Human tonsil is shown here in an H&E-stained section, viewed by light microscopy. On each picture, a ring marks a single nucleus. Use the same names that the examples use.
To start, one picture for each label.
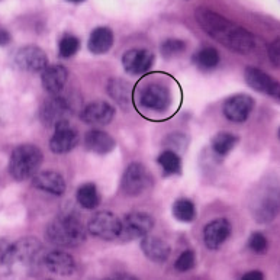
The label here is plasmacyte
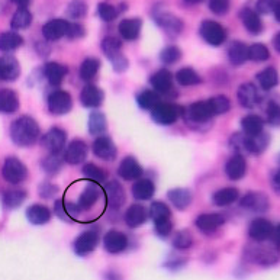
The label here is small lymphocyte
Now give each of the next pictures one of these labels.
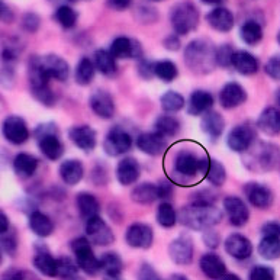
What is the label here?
small lymphocyte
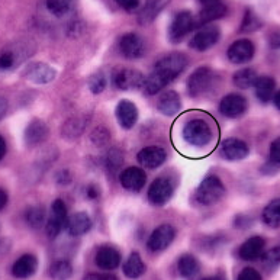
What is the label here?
plasmacyte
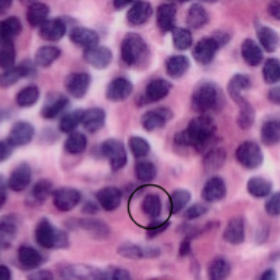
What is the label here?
small lymphocyte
